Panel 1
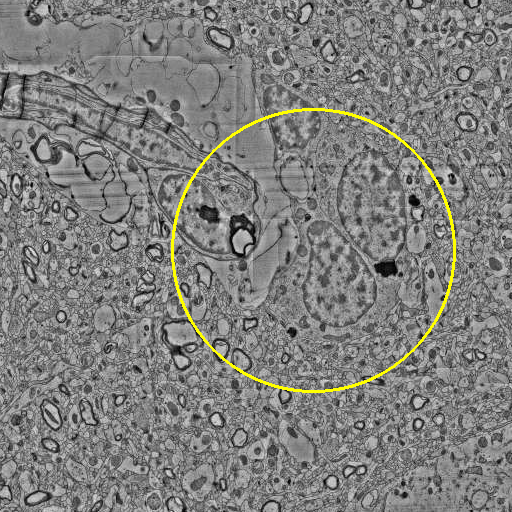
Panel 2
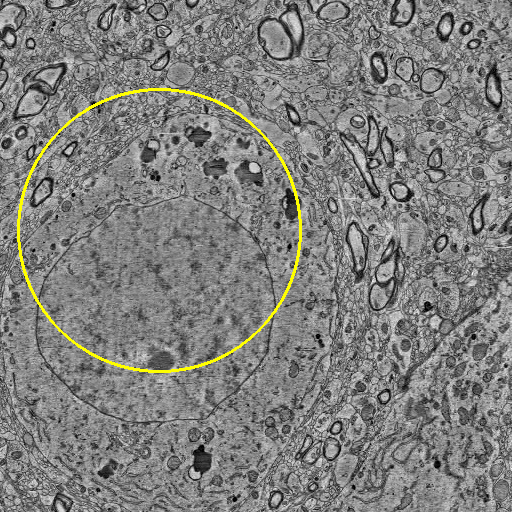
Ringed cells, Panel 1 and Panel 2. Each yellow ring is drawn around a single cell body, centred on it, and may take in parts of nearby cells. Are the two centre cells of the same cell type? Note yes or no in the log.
no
